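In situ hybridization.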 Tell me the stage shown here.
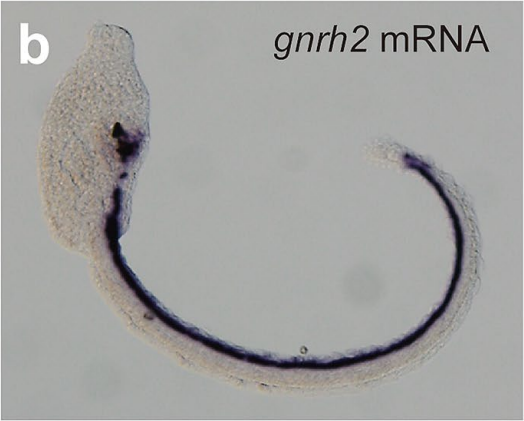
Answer: Larva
